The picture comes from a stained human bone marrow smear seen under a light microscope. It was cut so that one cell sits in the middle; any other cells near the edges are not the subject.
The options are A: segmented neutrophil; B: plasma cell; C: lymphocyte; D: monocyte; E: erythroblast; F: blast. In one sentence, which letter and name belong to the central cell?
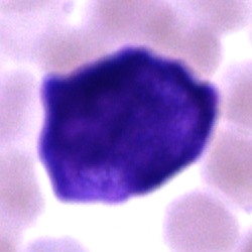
For this crop, option F is right, the centered cell being a blast.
